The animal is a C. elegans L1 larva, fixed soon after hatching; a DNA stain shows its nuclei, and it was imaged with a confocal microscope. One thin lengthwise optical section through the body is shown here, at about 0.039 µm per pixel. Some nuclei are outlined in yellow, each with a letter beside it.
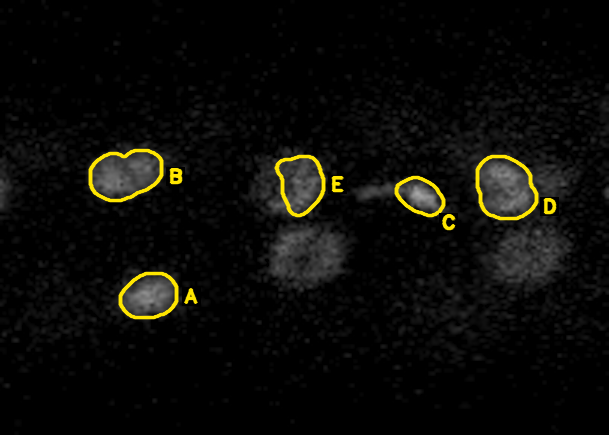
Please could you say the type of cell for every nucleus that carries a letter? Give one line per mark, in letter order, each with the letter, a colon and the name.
A: neuron
B: P cell (ventral epidermal blast cell)
C: P cell (ventral epidermal blast cell)
D: seam cell
E: seam cell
